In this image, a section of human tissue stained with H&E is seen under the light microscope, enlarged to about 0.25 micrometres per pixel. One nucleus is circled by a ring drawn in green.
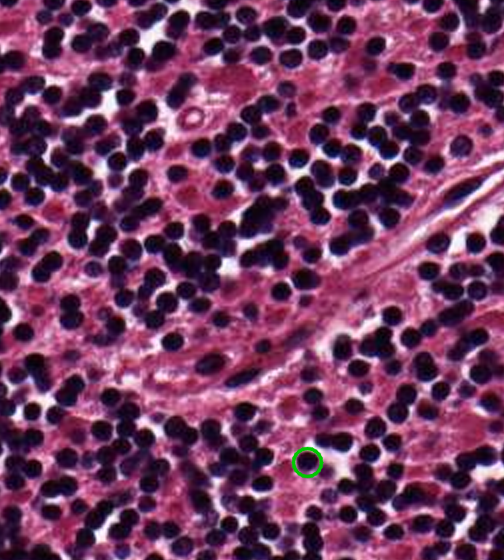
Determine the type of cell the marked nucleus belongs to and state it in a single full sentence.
The marked nucleus is part of a cerebellar granule cell.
